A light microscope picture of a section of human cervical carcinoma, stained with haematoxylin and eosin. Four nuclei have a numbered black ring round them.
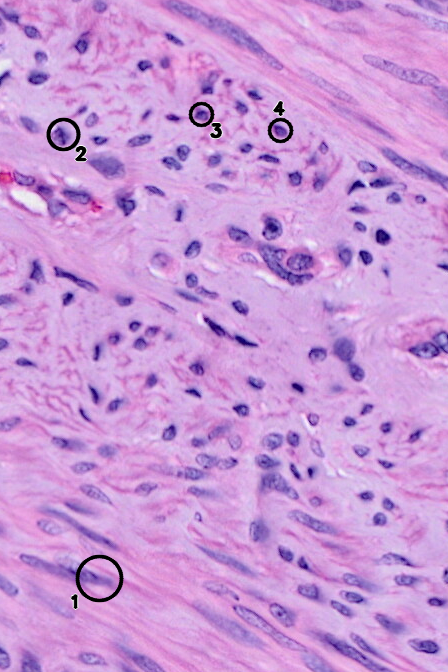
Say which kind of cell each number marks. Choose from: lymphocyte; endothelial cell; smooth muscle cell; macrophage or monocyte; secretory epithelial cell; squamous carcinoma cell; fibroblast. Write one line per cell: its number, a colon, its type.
1: smooth muscle cell
2: fibroblast
3: smooth muscle cell
4: smooth muscle cell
